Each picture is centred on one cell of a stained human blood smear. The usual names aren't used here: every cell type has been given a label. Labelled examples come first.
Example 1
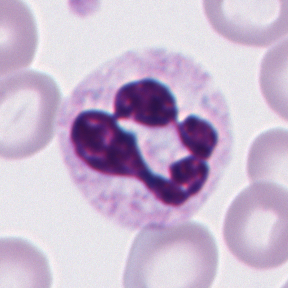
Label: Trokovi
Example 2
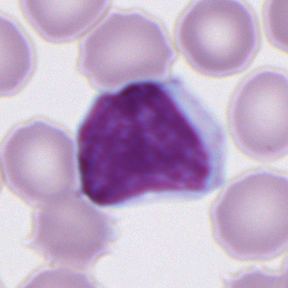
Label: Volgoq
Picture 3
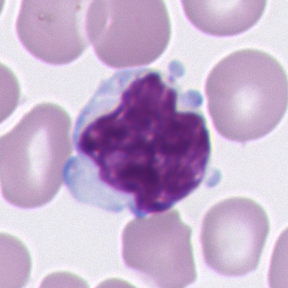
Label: Volgoq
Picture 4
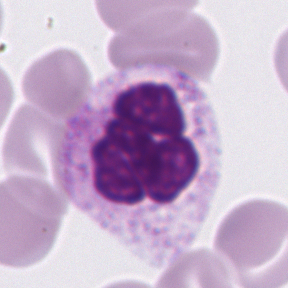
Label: Trokovi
